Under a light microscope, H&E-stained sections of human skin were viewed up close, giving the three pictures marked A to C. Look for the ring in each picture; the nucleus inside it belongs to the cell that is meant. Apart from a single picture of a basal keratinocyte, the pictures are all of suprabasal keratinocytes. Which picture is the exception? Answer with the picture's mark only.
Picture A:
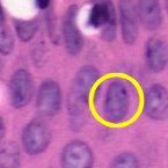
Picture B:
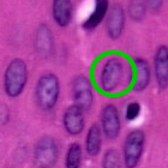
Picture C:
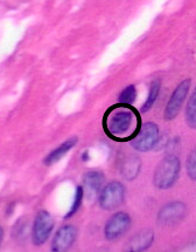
C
